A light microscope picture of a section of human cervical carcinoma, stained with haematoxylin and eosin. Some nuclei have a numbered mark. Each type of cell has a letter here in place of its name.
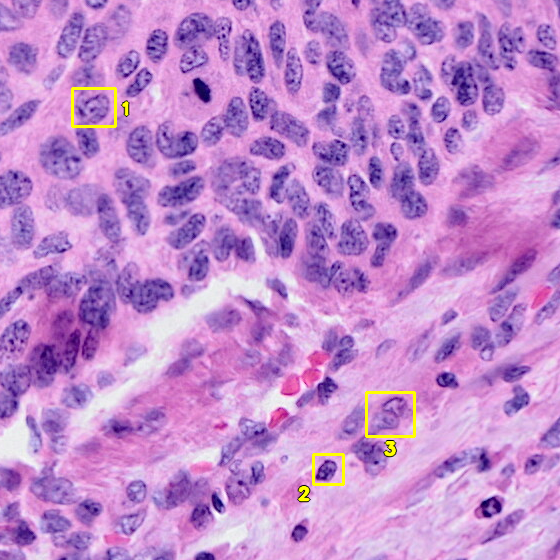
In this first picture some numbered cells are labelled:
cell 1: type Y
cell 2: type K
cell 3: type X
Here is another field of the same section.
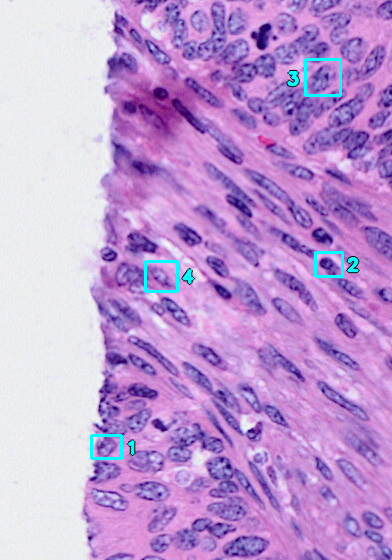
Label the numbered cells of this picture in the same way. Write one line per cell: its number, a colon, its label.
1: type Y
2: type K
3: type Y
4: type X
